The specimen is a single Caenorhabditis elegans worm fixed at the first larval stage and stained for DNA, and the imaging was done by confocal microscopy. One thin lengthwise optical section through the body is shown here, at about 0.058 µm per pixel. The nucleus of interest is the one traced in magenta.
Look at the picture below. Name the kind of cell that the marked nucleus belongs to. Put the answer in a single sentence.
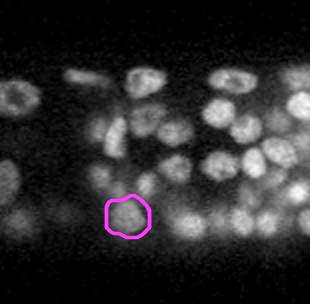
It belongs to a body wall muscle cell.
